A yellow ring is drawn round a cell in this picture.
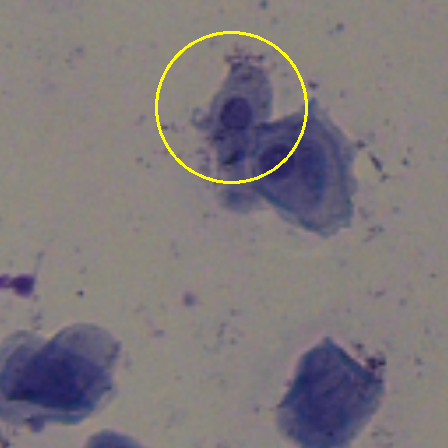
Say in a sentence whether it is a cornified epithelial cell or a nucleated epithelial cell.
The cell in the ring is a nucleated epithelial cell.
